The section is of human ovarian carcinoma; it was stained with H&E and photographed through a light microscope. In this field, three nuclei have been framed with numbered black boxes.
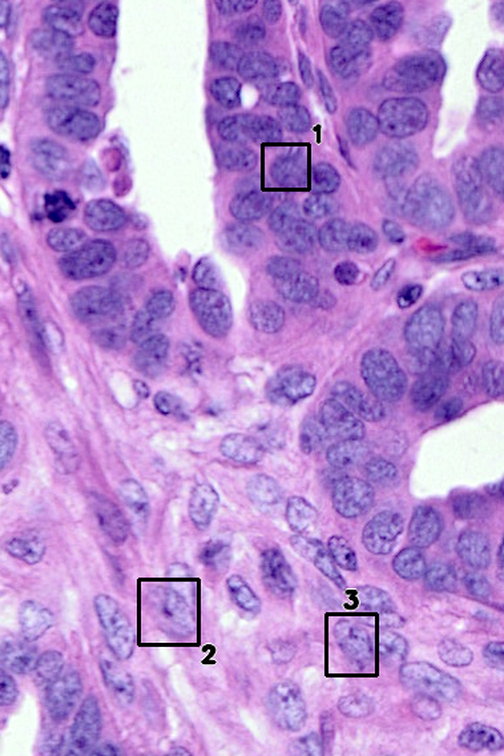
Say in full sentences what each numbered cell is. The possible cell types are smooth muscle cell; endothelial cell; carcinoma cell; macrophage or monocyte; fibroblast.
Cell 1 is a carcinoma cell, cell 2 is a fibroblast and cell 3 is a fibroblast.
